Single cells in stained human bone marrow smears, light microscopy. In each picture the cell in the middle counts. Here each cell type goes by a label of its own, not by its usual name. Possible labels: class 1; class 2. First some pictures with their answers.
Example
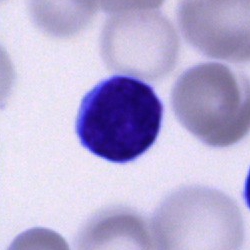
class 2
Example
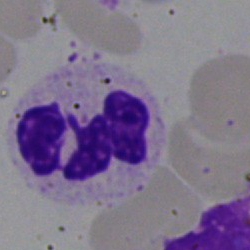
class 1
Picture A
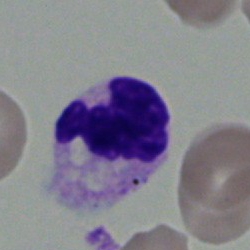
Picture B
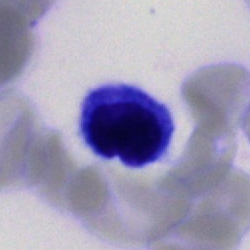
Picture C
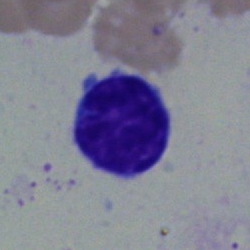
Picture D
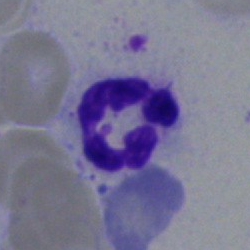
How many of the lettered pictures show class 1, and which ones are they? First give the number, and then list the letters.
Count: 2 (A, D)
